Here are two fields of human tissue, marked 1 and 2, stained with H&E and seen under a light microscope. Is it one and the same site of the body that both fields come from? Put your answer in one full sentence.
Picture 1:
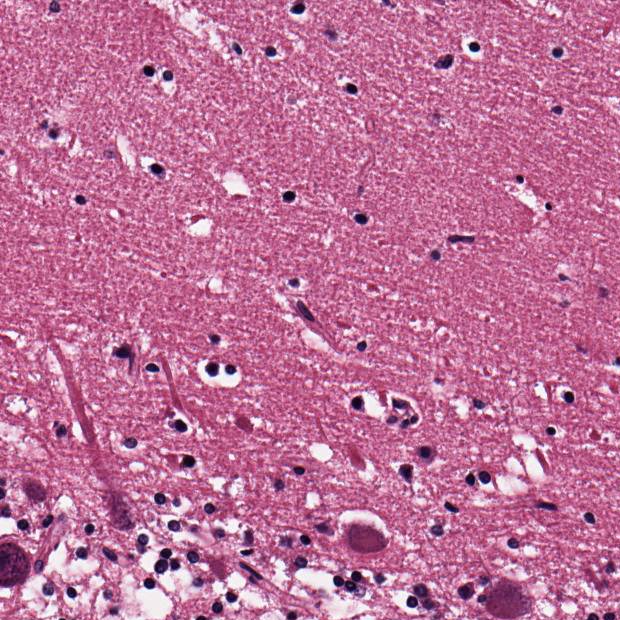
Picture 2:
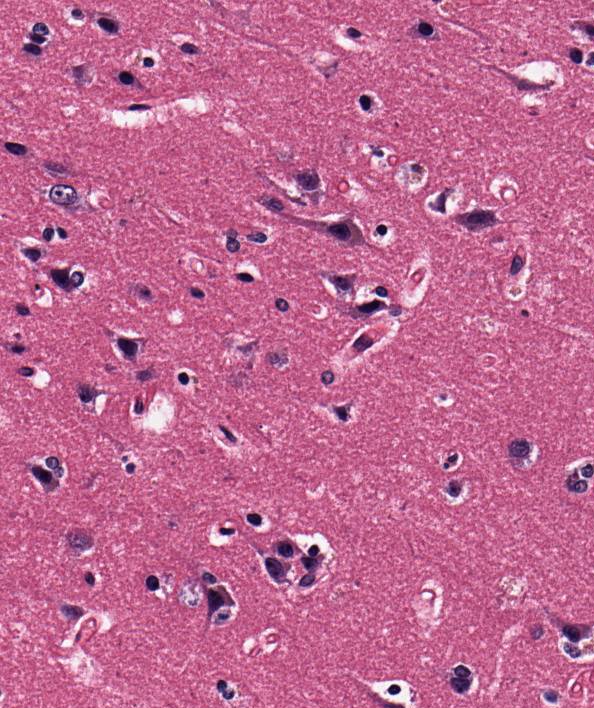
No. Picture 1 comes from the cerebellum, whereas picture 2 comes from the cerebral cortex.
